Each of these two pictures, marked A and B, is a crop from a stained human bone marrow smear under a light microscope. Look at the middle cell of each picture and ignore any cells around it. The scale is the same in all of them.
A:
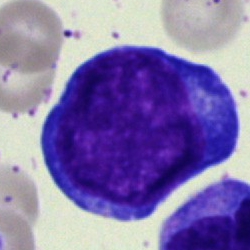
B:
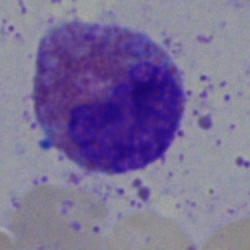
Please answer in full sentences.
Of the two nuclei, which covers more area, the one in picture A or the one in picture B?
Larger is the nucleus in picture A, at roughly 2 times the area of the other.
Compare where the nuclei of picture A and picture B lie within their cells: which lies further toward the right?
Seen within its cell, the nucleus in picture B lies further toward the right.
